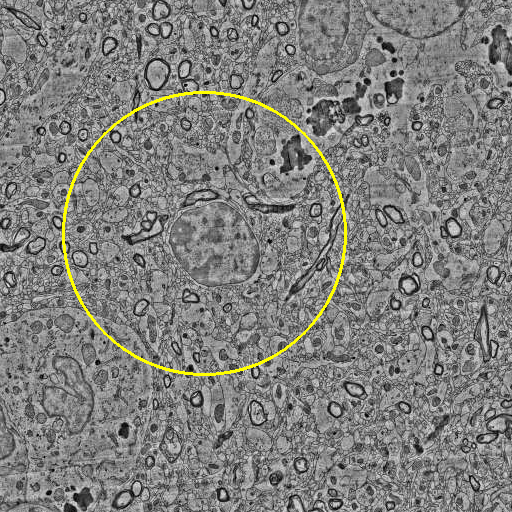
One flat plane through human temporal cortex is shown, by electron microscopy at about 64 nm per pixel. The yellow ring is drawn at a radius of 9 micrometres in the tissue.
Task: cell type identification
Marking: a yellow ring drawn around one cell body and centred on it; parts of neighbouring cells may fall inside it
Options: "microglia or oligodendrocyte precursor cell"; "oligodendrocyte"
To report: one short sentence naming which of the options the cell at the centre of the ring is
The cell at the centre of the ring is a microglial cell or oligodendrocyte precursor cell.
